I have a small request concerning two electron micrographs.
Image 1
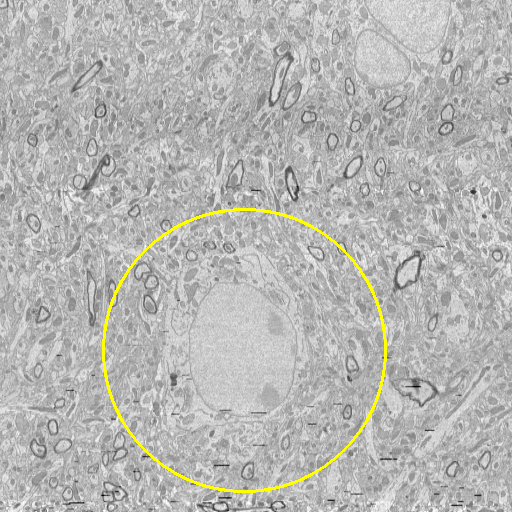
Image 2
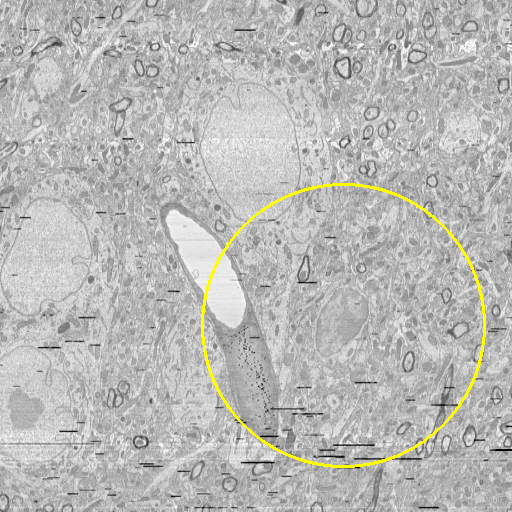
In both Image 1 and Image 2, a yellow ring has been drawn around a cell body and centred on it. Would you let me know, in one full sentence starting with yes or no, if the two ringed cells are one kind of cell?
No, the cells ringed in Image 1 and Image 2 are two kinds of cell.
